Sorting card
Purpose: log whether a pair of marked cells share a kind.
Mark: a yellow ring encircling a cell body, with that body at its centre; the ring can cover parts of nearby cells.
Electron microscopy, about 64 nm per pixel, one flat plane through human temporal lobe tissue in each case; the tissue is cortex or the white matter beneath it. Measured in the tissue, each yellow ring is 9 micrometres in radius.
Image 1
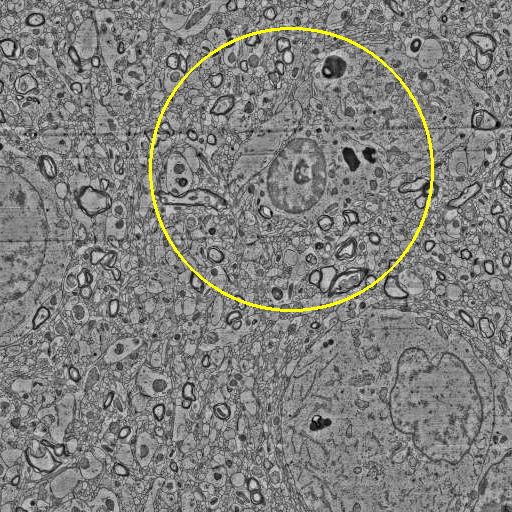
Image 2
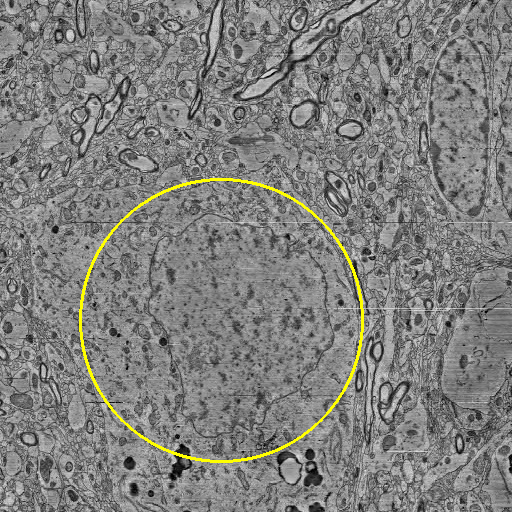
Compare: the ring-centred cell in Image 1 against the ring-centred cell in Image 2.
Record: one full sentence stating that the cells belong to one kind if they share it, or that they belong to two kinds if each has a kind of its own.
Across Images 1 and 2, the two ring-centred cells belong to two kinds.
